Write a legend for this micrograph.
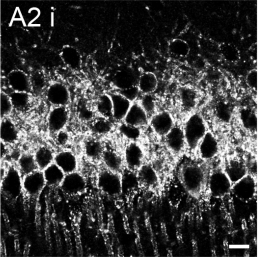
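Pyramidal cell layer of the hippocampus with densely packed pyramidal neurons. Cell bodies are round to triangular dark spaces several rows deep, each outlined by a bright membrane rim, with bright patchy labelling filling the spaces between somata. Below the layer, numerous parallel bright processes run in the same direction, consistent with proximal dendrites leaving the cell bodies.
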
